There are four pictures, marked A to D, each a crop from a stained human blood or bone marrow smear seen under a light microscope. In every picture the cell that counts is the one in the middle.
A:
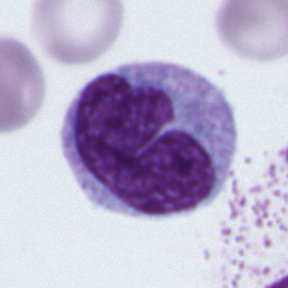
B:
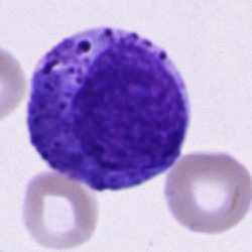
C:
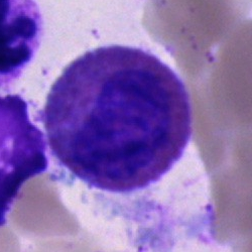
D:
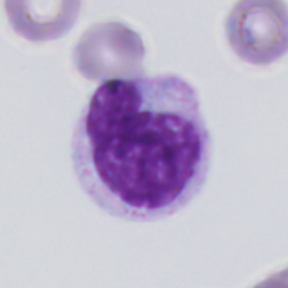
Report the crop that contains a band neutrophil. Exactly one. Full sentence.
The crop carrying a band neutrophil at the center is crop D.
